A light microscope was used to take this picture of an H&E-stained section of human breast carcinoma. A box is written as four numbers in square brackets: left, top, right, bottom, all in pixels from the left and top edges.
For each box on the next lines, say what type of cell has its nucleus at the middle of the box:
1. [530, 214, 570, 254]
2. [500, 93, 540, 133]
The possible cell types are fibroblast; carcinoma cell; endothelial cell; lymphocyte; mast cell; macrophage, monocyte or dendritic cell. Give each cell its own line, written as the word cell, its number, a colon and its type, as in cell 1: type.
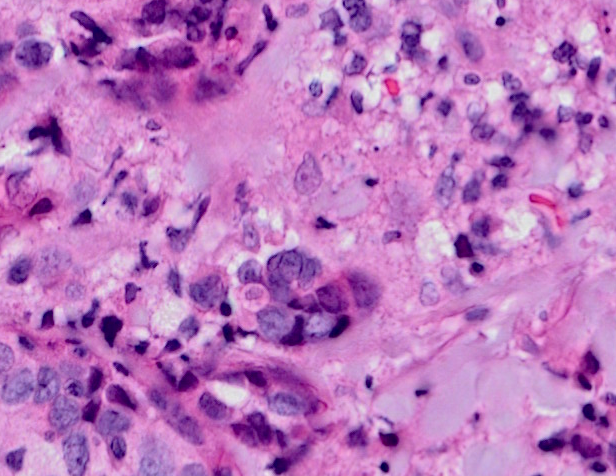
cell 1: endothelial cell
cell 2: lymphocyte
